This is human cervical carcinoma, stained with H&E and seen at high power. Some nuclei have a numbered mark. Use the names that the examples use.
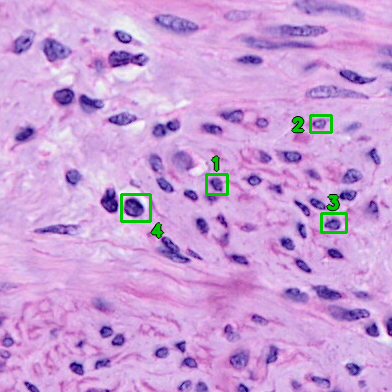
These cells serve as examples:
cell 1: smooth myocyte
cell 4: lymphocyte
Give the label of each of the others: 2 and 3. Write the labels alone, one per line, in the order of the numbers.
smooth myocyte
smooth myocyte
